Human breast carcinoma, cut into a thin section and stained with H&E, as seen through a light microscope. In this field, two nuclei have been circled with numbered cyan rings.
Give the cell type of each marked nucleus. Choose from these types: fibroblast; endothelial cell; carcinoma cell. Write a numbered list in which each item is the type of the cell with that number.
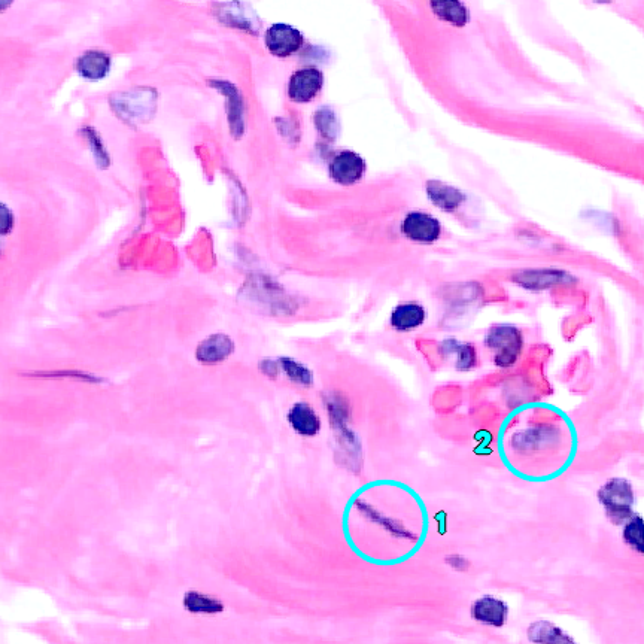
1. fibroblast
2. endothelial cell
